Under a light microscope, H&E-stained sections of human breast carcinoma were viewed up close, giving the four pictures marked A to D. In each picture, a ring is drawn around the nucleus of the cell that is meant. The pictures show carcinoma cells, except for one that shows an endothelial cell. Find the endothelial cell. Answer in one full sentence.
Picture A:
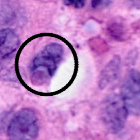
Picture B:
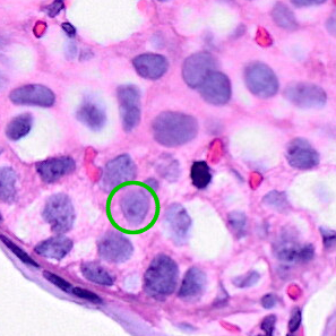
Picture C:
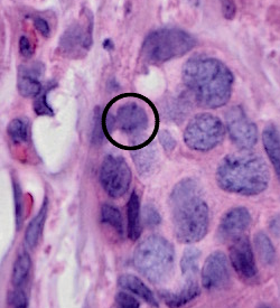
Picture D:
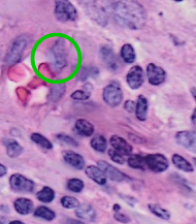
The cell in picture D is the endothelial cell.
